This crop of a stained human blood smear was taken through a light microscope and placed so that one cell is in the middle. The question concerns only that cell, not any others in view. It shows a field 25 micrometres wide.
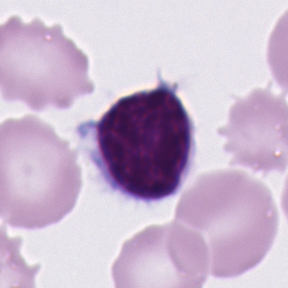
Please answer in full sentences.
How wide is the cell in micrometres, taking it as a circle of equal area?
The diameter of the cell comes to about 10 micrometres.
